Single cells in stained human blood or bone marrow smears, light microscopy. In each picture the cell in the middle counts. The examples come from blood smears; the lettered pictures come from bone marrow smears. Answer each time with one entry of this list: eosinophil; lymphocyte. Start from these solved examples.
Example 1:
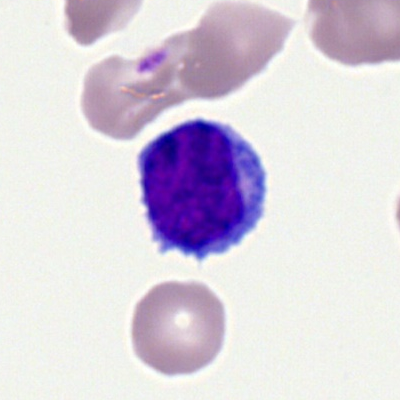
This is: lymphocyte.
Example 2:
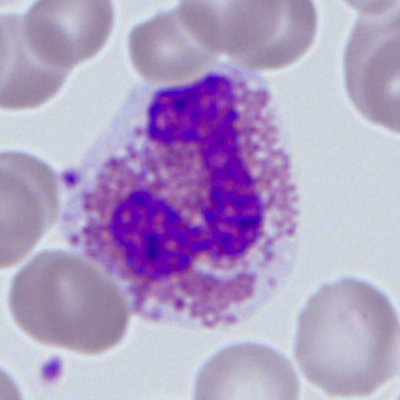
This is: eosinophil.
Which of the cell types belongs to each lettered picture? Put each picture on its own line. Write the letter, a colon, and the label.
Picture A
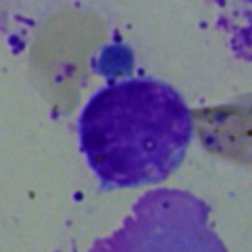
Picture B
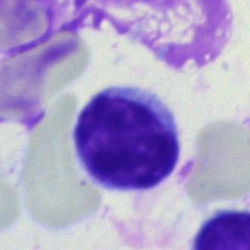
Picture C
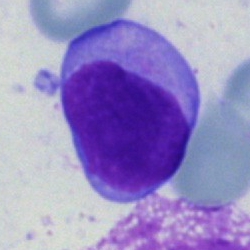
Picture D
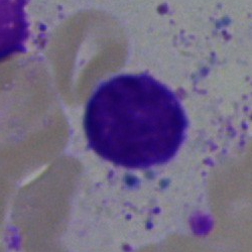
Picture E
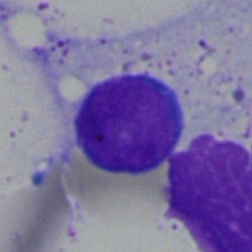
A: lymphocyte.
B: lymphocyte.
C: lymphocyte.
D: lymphocyte.
E: lymphocyte.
